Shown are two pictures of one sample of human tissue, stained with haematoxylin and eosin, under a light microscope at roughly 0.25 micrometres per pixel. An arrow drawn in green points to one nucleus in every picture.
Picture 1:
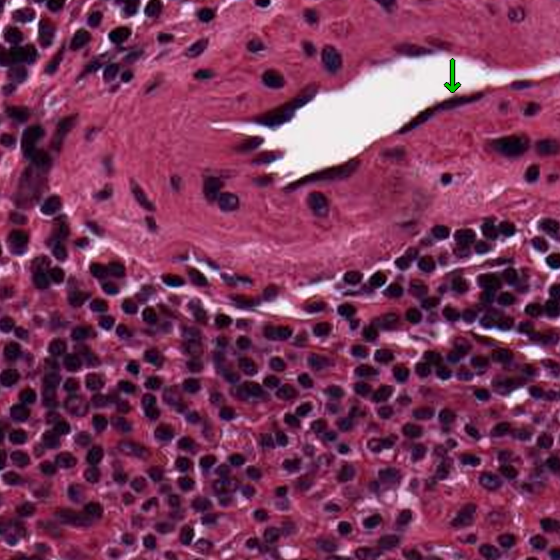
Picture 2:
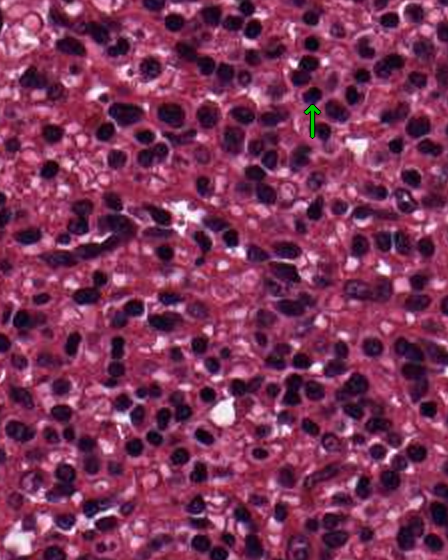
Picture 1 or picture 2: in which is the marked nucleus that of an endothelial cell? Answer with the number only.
1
